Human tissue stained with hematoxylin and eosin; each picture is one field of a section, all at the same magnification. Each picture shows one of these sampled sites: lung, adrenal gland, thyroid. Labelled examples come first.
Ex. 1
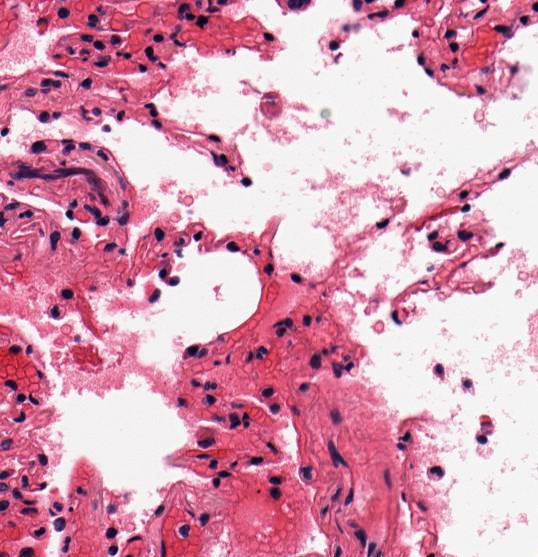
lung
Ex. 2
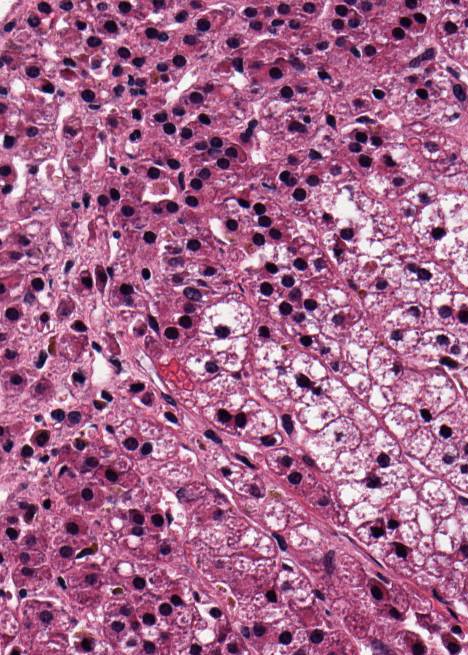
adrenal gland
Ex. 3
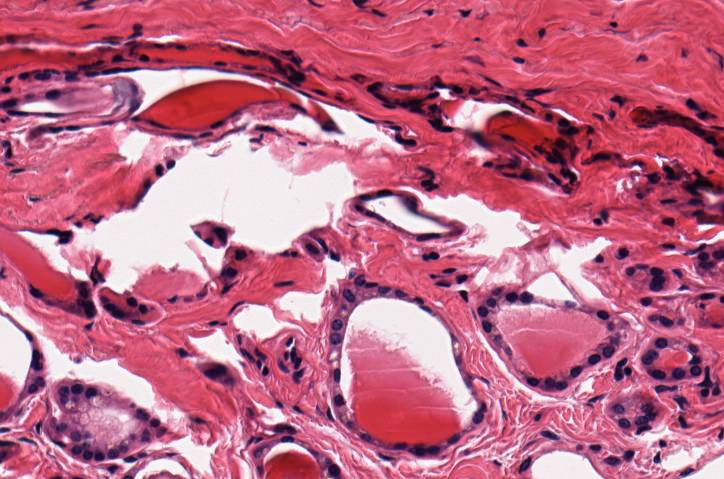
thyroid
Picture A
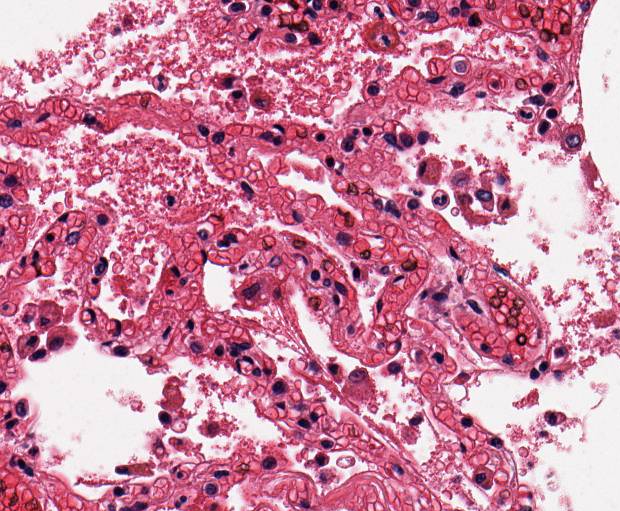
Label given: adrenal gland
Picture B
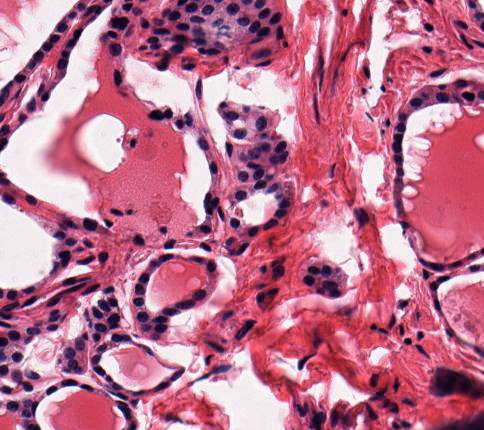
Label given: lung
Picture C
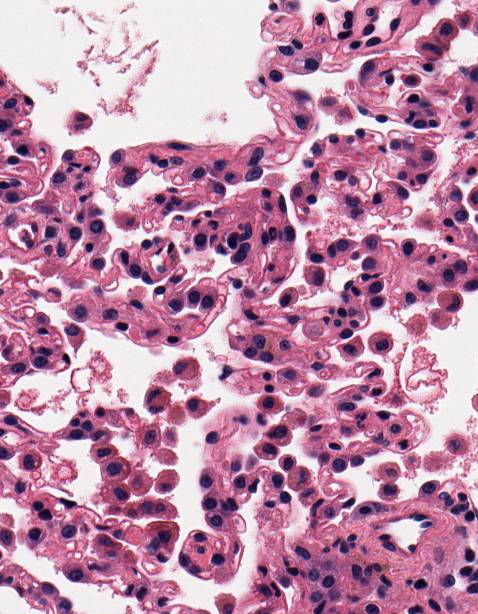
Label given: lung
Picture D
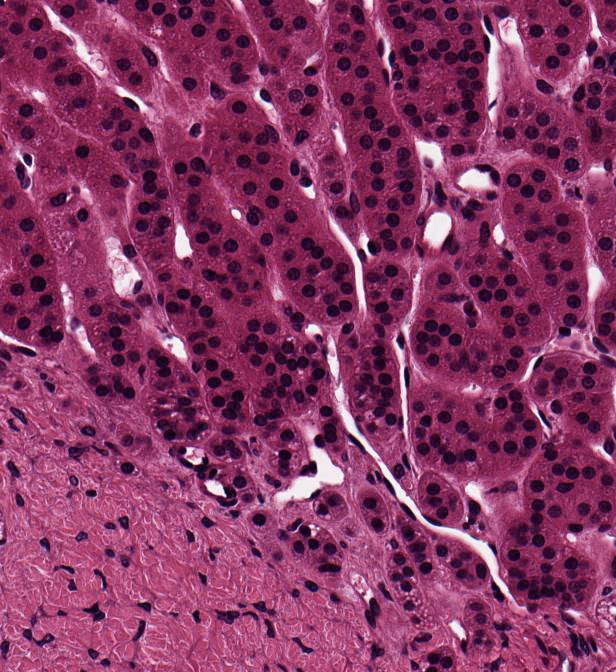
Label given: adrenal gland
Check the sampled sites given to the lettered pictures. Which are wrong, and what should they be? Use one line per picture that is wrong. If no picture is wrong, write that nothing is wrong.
Wrong: A (adrenal gland); correct: lung
Wrong: B (lung); correct: thyroid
